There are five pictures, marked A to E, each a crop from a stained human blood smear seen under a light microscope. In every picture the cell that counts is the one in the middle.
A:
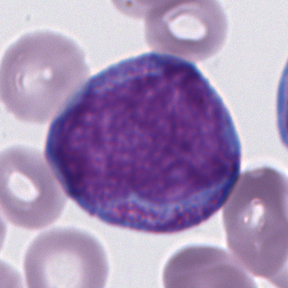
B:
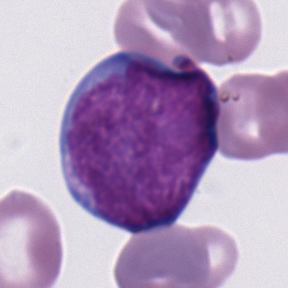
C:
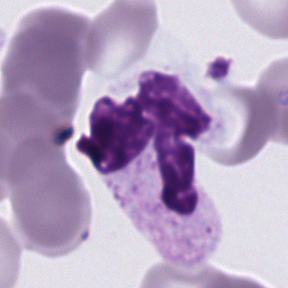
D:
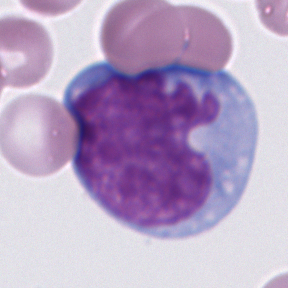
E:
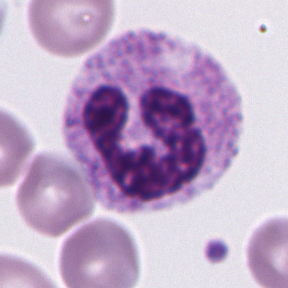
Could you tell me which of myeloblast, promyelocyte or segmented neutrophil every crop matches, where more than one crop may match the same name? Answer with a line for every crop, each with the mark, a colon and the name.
A: promyelocyte
B: myeloblast
C: segmented neutrophil
D: myeloblast
E: segmented neutrophil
